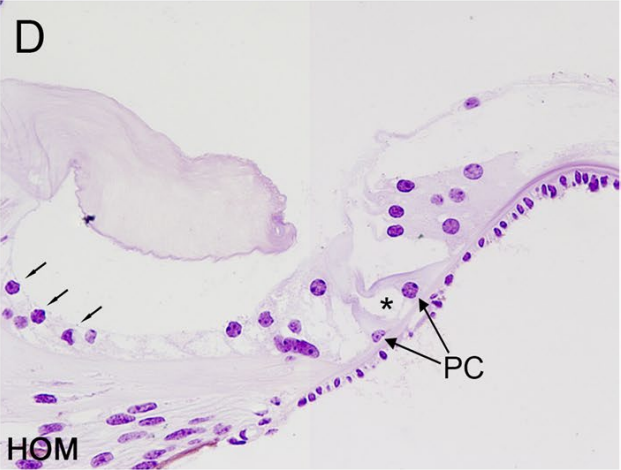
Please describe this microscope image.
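The large pale tectorial membrane lies above, lifted clear of the cells beneath it. On the inner side a row of inner sulcus cells with round nuclei lines the floor of the sulcus. The pillar cells, with nuclei at their bases, enclose only a small triangular tunnel.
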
